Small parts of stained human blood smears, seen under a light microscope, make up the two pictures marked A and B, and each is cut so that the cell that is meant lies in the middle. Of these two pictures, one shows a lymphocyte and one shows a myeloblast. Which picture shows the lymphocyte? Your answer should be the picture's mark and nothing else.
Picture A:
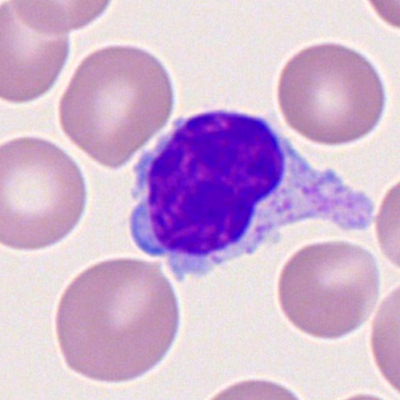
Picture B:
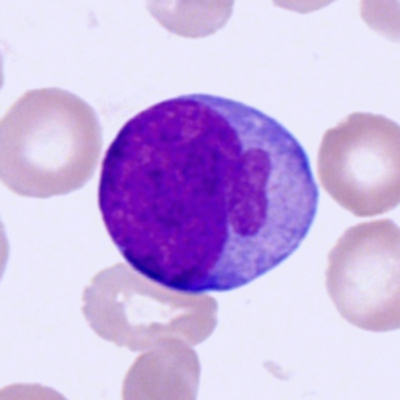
A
